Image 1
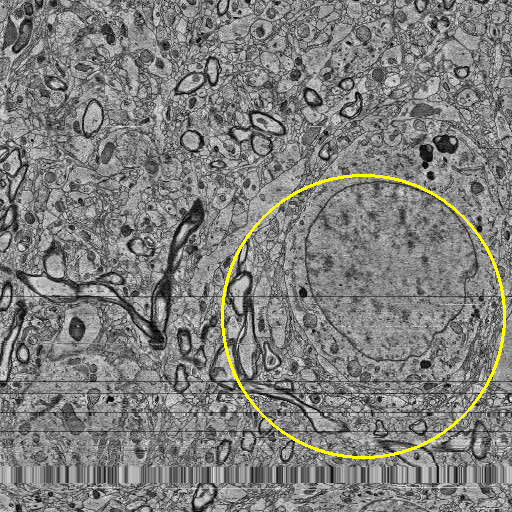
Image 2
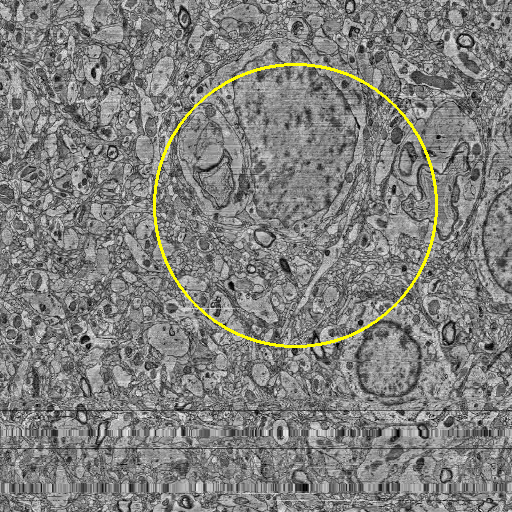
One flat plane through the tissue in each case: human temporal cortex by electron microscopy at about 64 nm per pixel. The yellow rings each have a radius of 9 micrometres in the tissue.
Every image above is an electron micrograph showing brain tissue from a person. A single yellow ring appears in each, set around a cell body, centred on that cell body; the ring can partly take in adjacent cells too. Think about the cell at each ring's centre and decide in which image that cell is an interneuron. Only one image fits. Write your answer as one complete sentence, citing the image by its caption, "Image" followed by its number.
Image 2 is the one whose ringed central cell fits the description.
